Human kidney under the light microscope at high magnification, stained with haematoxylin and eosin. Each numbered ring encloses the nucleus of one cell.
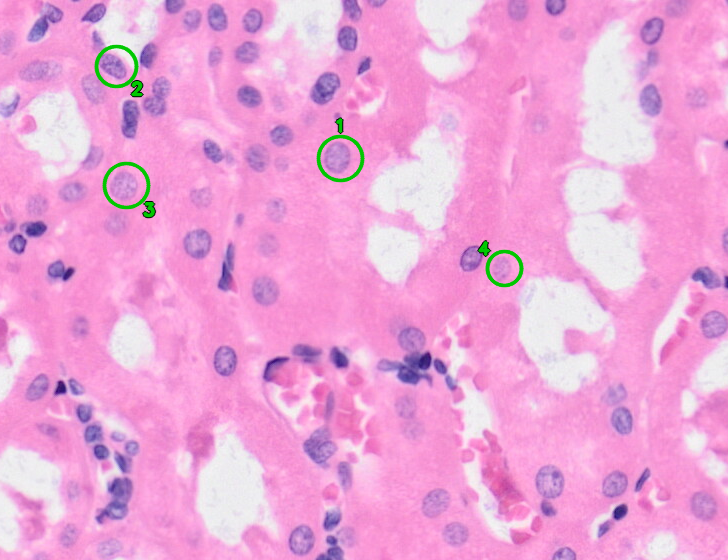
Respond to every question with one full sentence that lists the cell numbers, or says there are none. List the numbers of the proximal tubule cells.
The cells referred to by the numbers 1, 3 and 4 are proximal tubule cells.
